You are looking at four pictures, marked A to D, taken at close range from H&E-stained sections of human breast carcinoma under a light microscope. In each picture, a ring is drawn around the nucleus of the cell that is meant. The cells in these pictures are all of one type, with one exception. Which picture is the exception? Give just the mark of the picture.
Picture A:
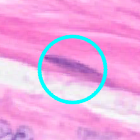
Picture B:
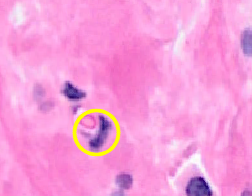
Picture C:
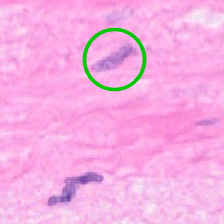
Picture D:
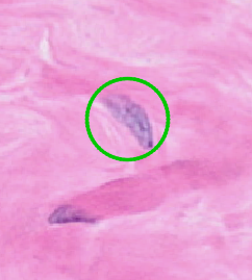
B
